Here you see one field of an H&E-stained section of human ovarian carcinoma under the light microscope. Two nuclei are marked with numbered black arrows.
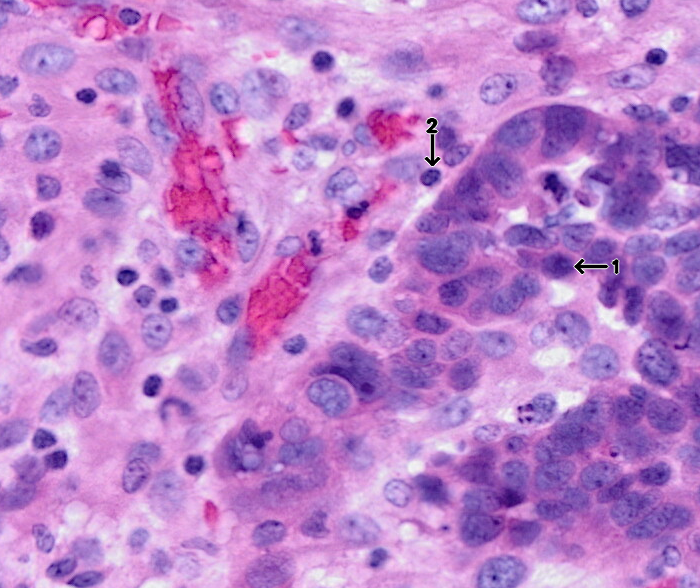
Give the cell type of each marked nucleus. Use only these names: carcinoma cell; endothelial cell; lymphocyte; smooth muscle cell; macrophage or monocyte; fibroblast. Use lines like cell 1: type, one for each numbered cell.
cell 1: carcinoma cell
cell 2: lymphocyte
